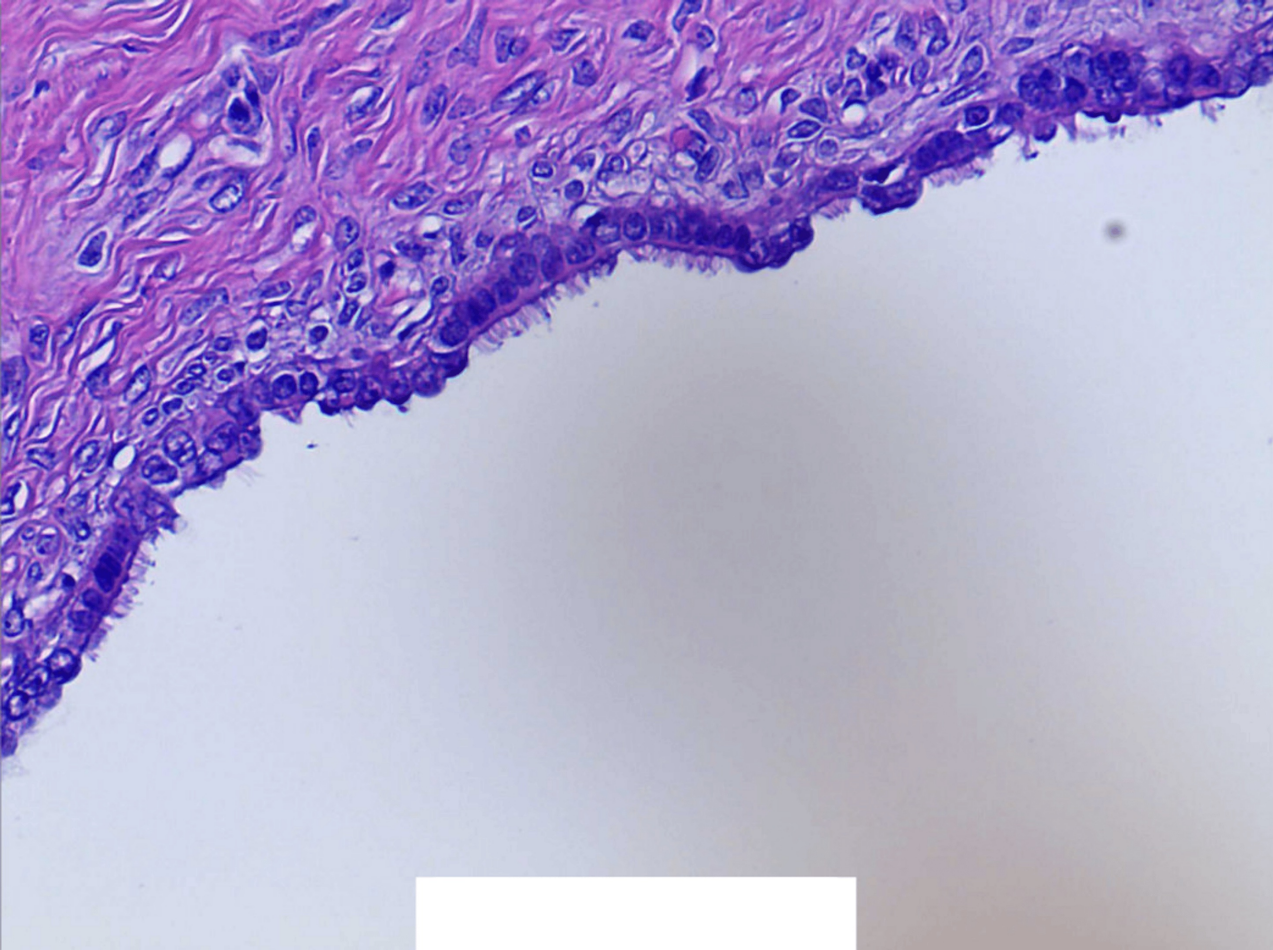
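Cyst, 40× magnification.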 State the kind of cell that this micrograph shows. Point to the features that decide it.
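A continuous layer of closely packed cells lines a large empty space. The cells sit on pink fibrous connective tissue and face the open space with one surface.
Epithelial cells.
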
